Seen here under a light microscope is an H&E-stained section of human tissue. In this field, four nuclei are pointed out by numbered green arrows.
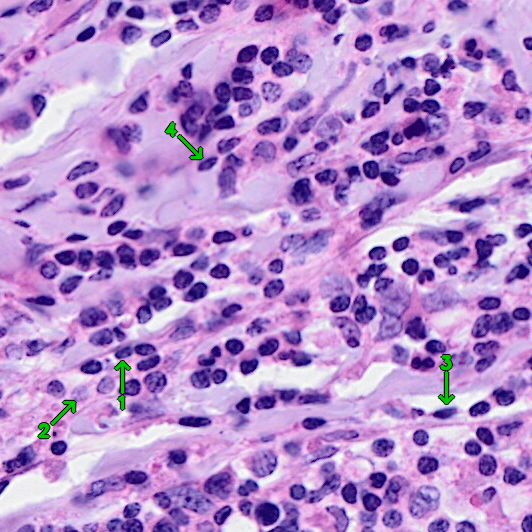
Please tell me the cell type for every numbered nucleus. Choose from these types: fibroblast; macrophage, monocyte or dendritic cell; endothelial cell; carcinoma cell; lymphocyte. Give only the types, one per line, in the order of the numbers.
lymphocyte
macrophage, monocyte or dendritic cell
lymphocyte
lymphocyte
